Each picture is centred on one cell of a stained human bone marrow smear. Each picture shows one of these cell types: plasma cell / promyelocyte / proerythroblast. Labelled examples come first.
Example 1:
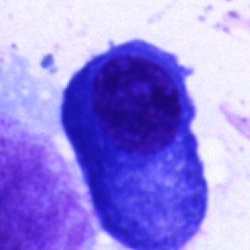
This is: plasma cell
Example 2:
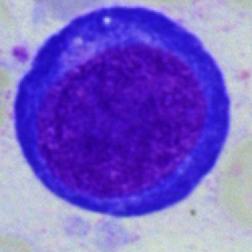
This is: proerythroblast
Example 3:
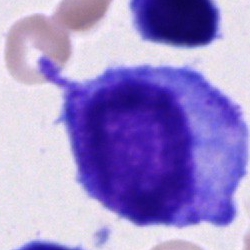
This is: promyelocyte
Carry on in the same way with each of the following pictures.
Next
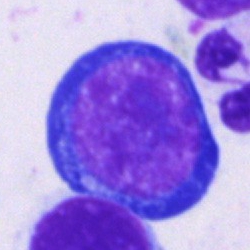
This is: proerythroblast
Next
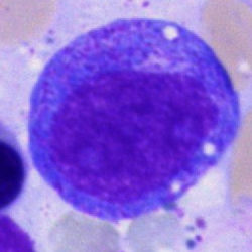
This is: promyelocyte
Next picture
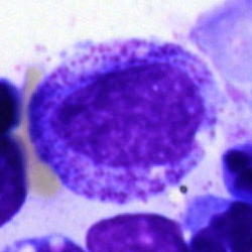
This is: promyelocyte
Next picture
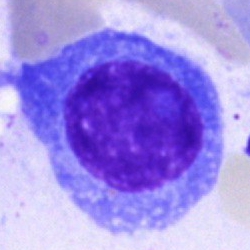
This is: plasma cell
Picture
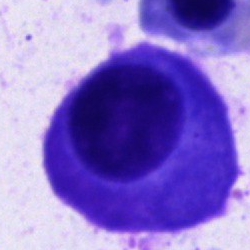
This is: plasma cell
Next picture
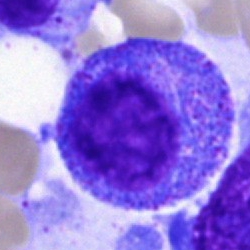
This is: promyelocyte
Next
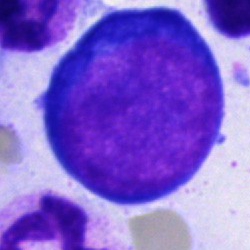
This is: proerythroblast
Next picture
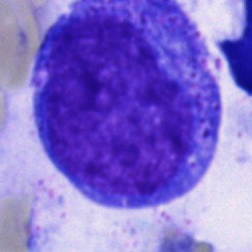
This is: promyelocyte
